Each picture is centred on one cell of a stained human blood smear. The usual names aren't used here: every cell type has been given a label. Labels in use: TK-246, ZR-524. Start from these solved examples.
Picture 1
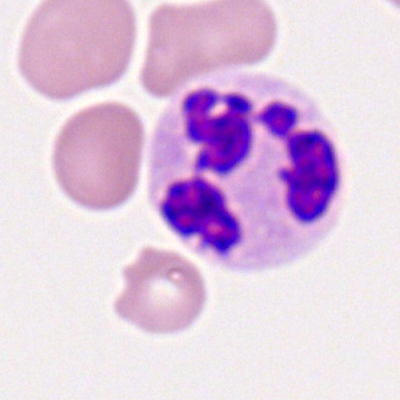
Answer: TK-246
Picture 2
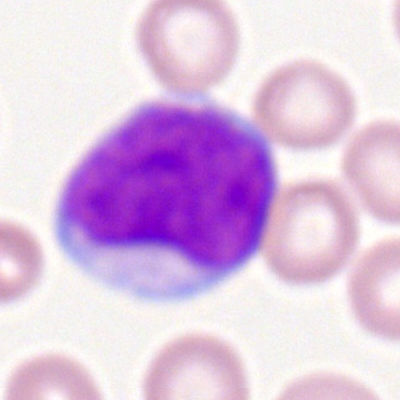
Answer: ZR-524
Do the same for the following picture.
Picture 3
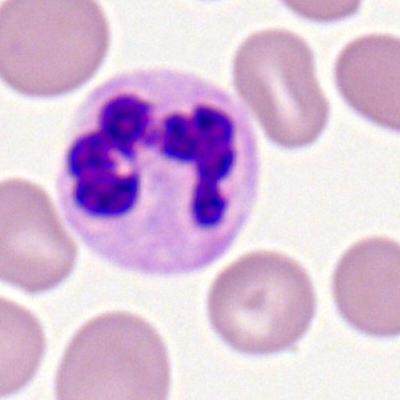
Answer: TK-246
